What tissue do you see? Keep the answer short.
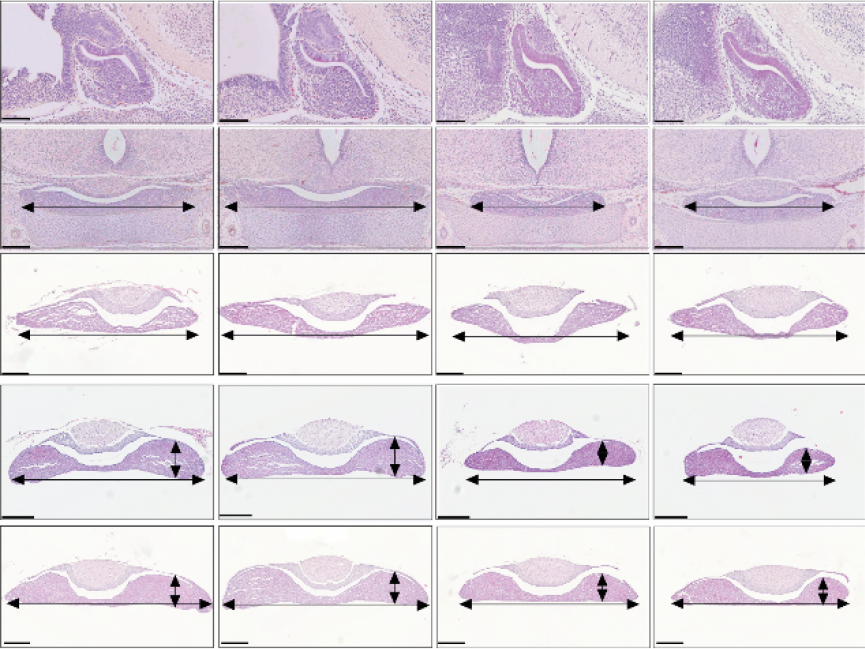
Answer: Pituitary glands.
